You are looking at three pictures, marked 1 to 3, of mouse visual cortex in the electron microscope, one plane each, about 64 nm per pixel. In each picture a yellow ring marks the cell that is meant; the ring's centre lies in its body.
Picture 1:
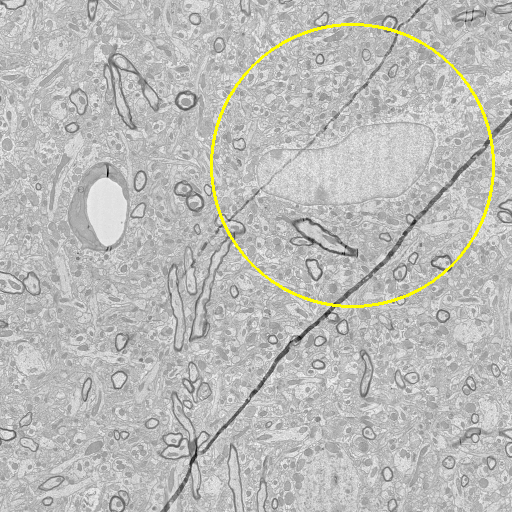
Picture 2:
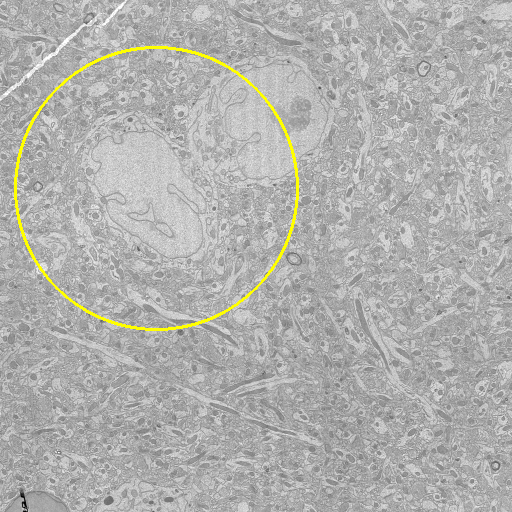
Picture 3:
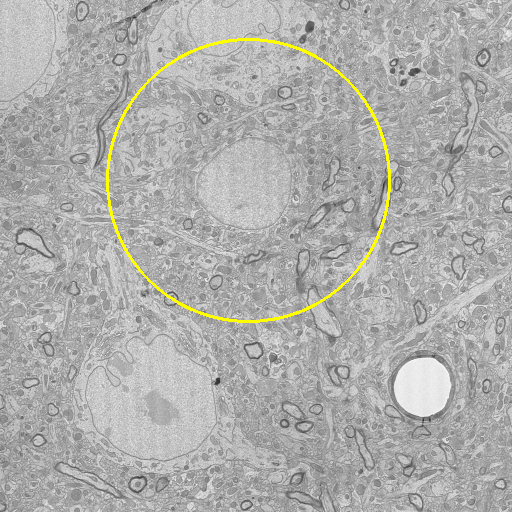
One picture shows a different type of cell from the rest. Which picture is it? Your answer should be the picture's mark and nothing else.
2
